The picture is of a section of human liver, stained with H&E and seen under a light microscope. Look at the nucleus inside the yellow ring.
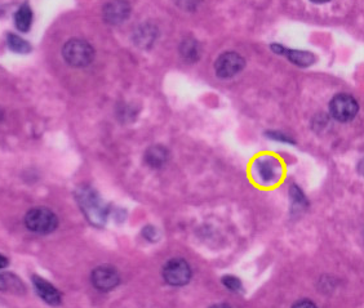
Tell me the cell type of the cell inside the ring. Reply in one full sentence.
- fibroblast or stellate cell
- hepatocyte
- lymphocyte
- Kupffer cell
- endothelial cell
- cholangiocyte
Students should answer that the cell inside the ring is a lymphocyte.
